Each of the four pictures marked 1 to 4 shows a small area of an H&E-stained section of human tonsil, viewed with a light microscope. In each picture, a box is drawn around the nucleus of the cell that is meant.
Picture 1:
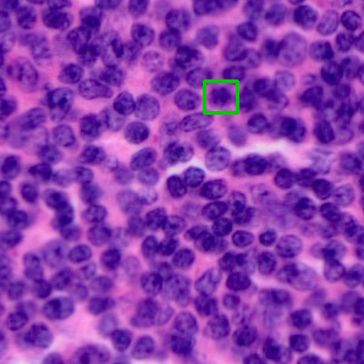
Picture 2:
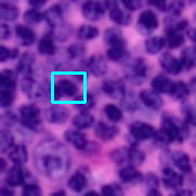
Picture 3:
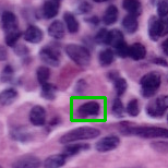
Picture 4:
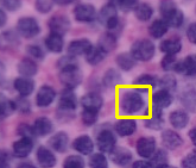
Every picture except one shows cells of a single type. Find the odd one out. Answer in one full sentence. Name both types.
Unlike the rest, which show small lymphocytes, picture 3 shows a plasma cell.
